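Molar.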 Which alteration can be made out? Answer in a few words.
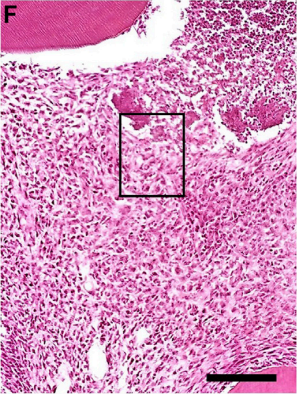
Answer: inflamed dental pulp tissue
